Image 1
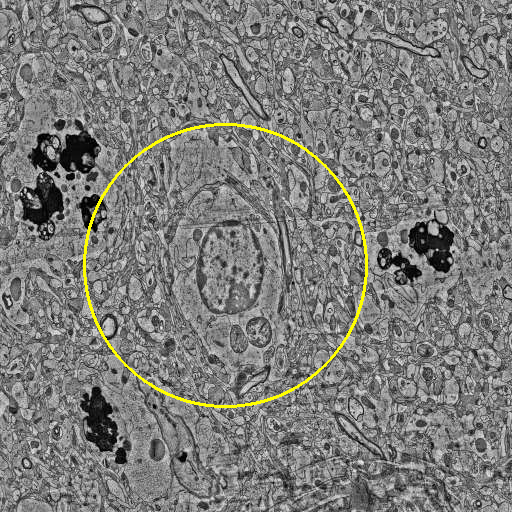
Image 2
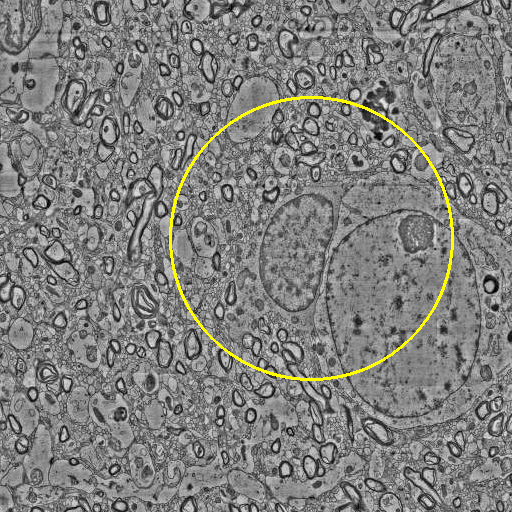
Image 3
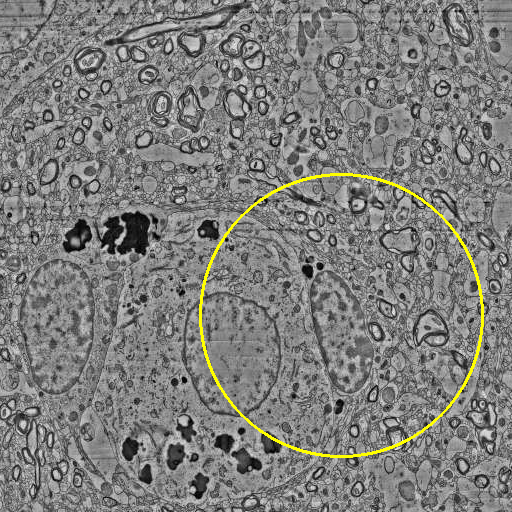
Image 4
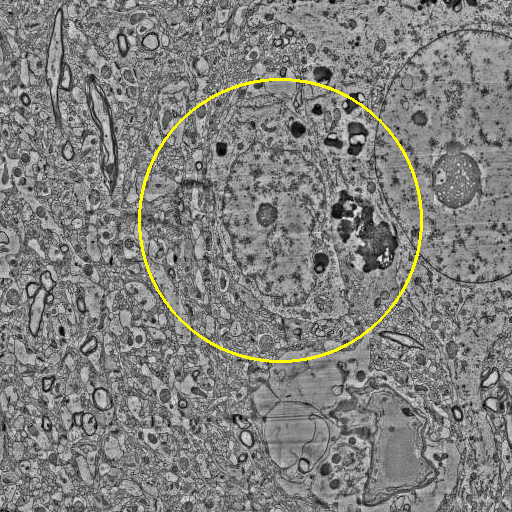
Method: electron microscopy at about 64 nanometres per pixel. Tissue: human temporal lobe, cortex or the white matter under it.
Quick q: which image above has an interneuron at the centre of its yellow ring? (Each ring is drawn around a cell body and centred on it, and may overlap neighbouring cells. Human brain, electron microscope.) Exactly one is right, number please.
4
